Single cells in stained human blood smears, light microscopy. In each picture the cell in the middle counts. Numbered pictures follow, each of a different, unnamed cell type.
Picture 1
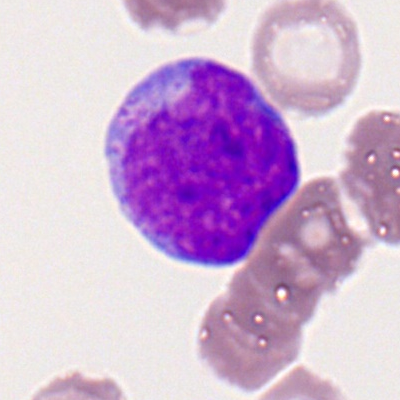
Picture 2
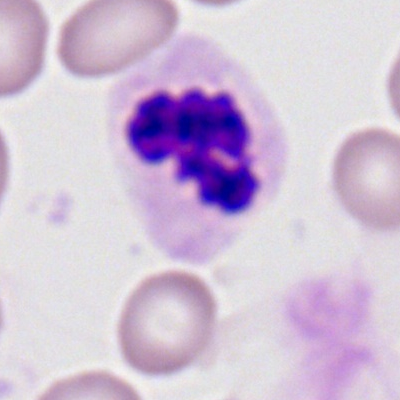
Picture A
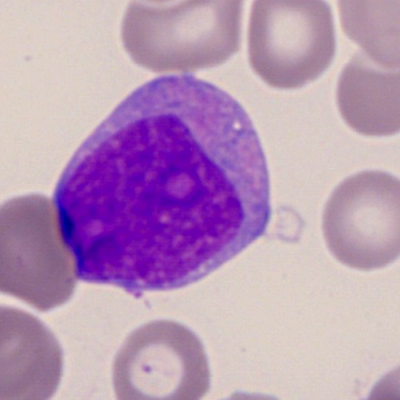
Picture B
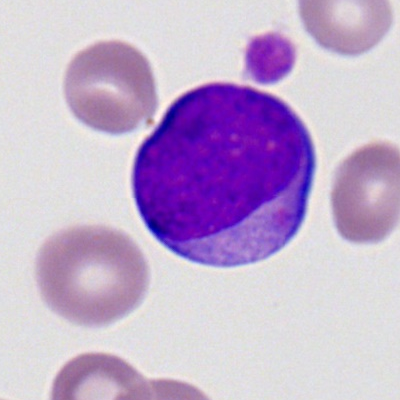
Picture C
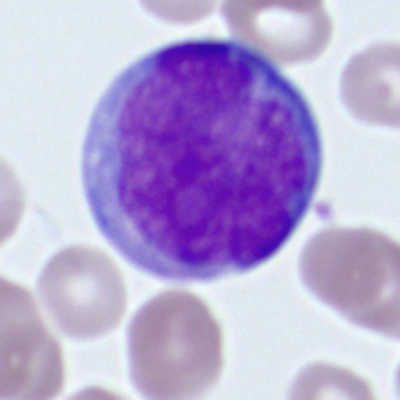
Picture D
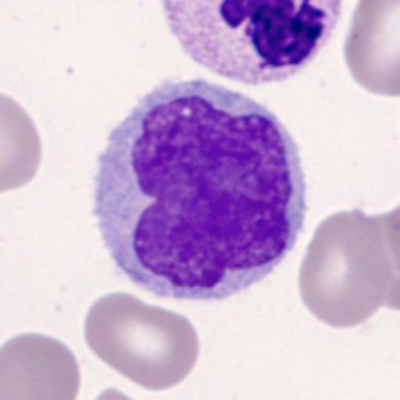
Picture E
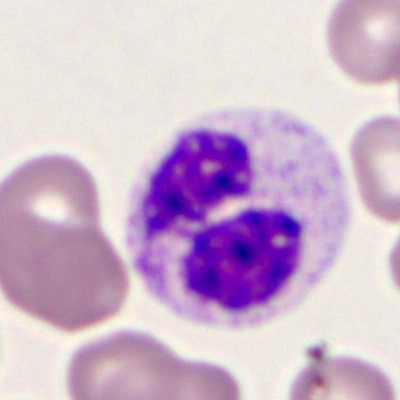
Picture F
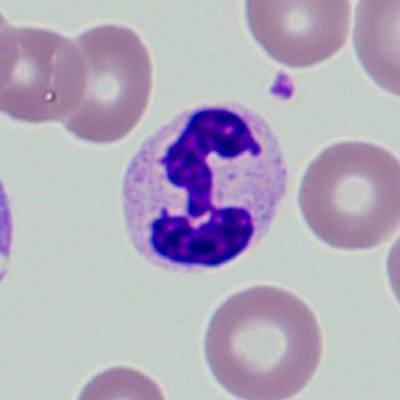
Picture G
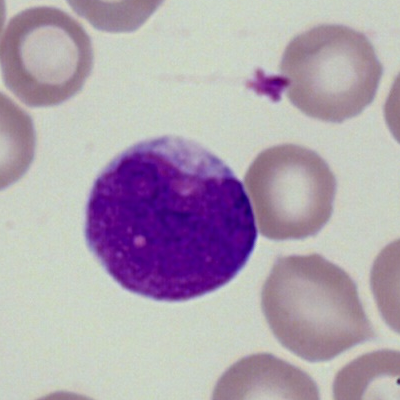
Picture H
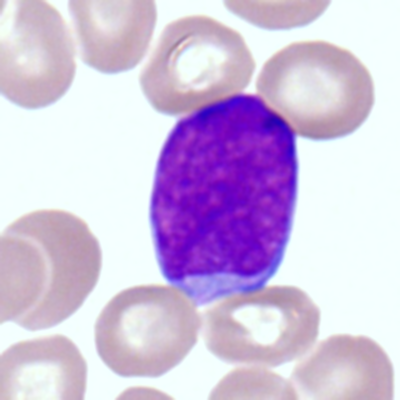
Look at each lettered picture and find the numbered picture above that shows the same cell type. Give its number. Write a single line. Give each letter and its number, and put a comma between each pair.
A 1, B 1, C 1, D 1, E 2, F 2, G 1, H 1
